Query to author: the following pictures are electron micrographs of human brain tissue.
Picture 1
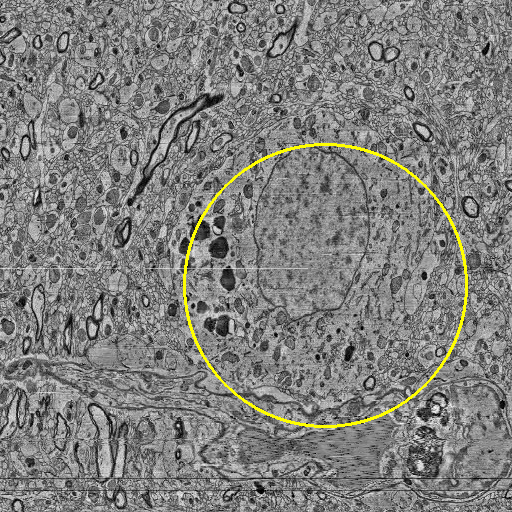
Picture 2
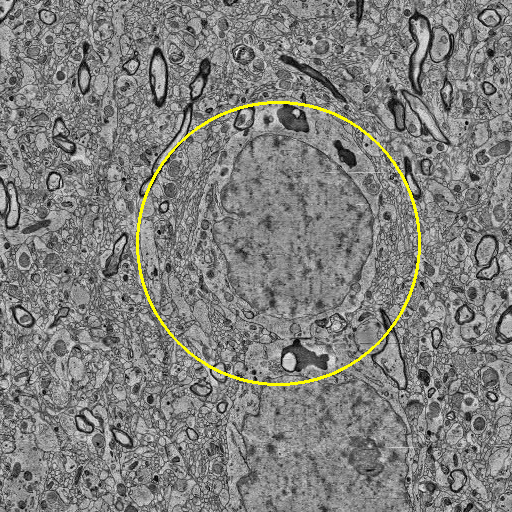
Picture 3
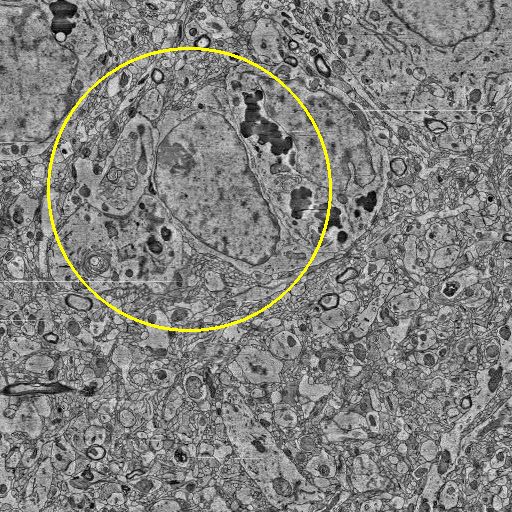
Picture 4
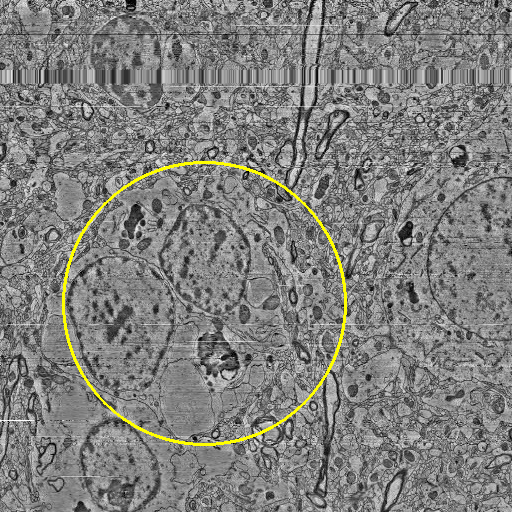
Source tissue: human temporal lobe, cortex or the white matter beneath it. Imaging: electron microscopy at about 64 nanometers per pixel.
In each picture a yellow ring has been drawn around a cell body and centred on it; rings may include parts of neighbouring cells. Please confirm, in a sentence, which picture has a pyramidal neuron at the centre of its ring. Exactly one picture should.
Picture 1 has it at the centre of its ring.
